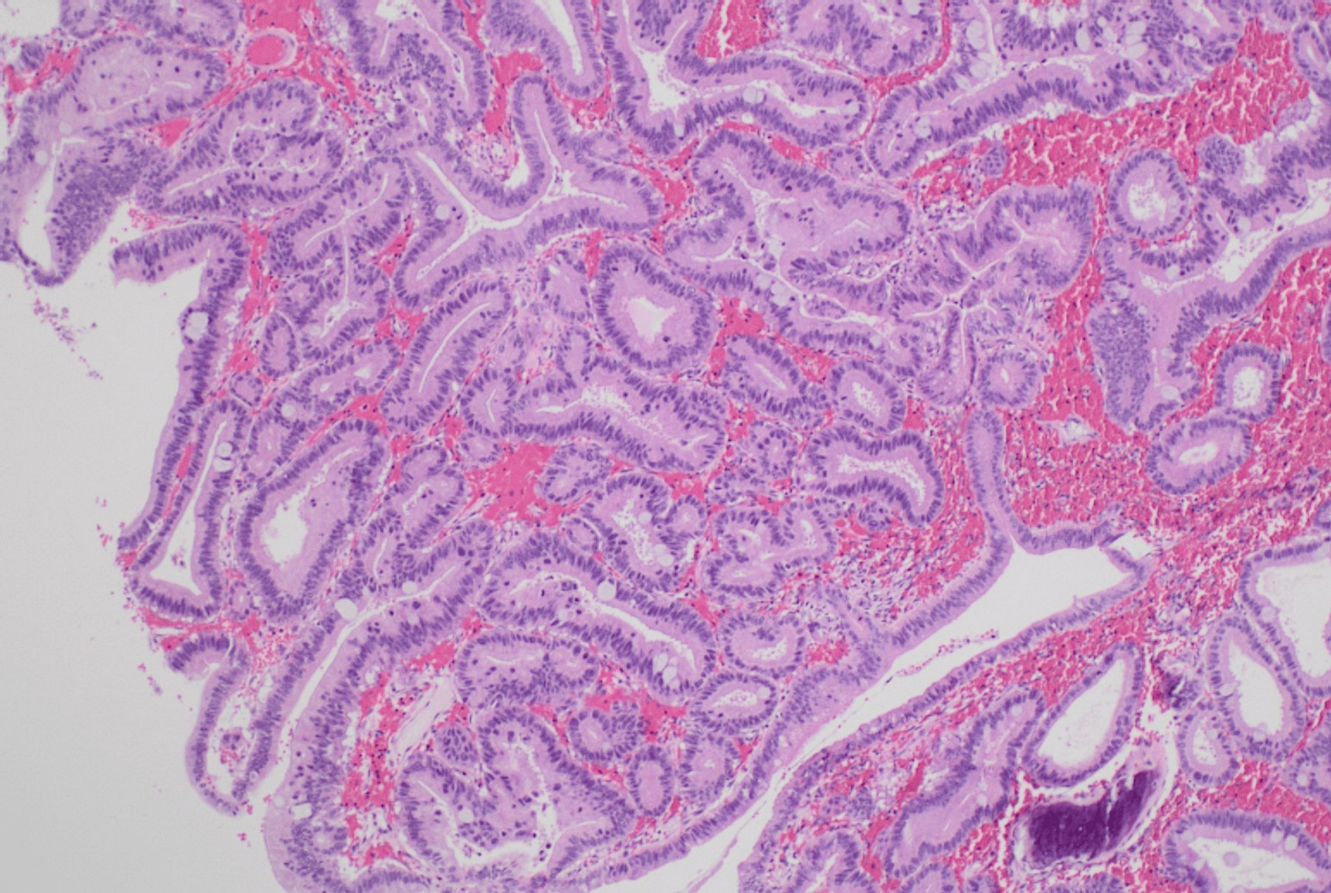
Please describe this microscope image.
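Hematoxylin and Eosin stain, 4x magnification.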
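This is a tubulopapillary neoplasm lined by columnar epithelial cells. The glands have open, irregular, branching lumens, some containing pale pink secretion. The lining is a single layer of tall columnar cells with pink cytoplasm and elongated, dark purple nuclei that are crowded and pseudostratified toward the basal side. Scattered round, clear vacuolated cells resembling goblet cells are interspersed in the epithelium, indicating intestinal-type change. A dark purple aggregate lies in one lumen at the lower right.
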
